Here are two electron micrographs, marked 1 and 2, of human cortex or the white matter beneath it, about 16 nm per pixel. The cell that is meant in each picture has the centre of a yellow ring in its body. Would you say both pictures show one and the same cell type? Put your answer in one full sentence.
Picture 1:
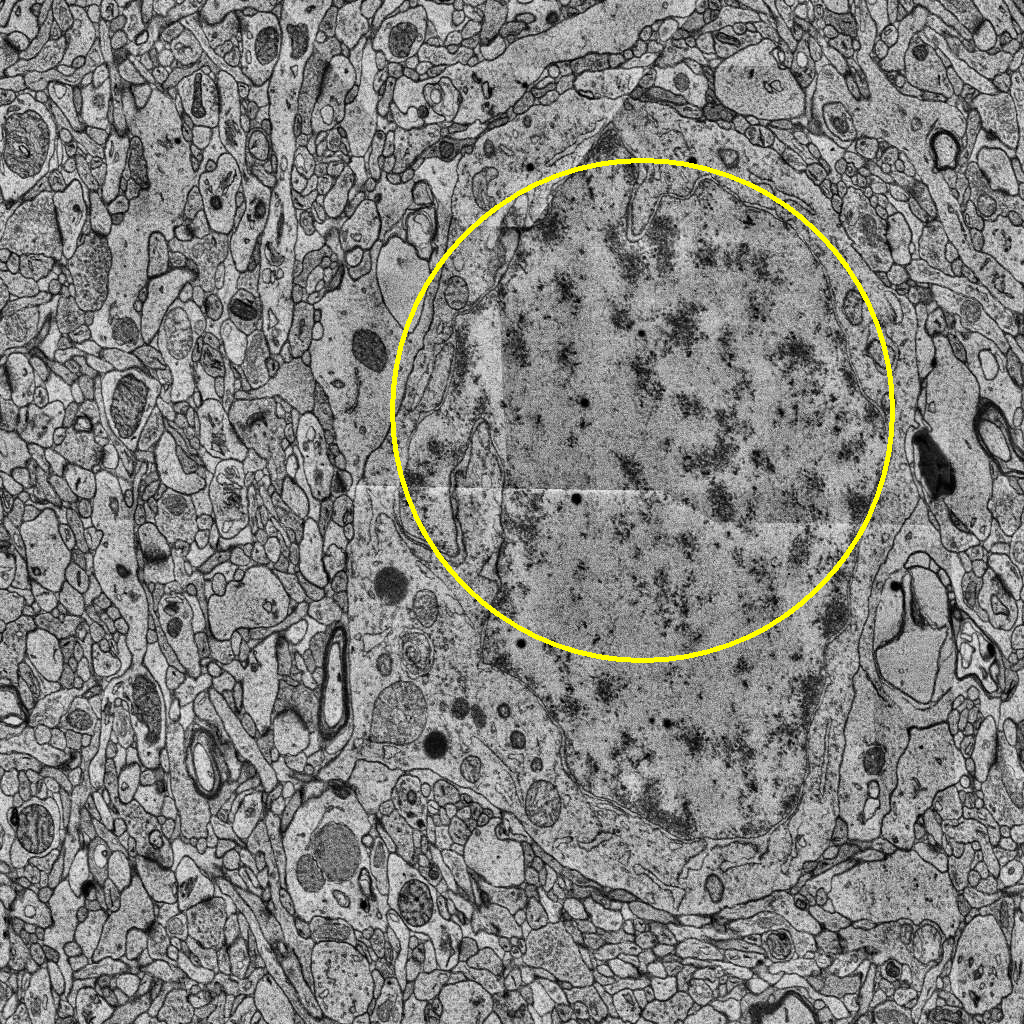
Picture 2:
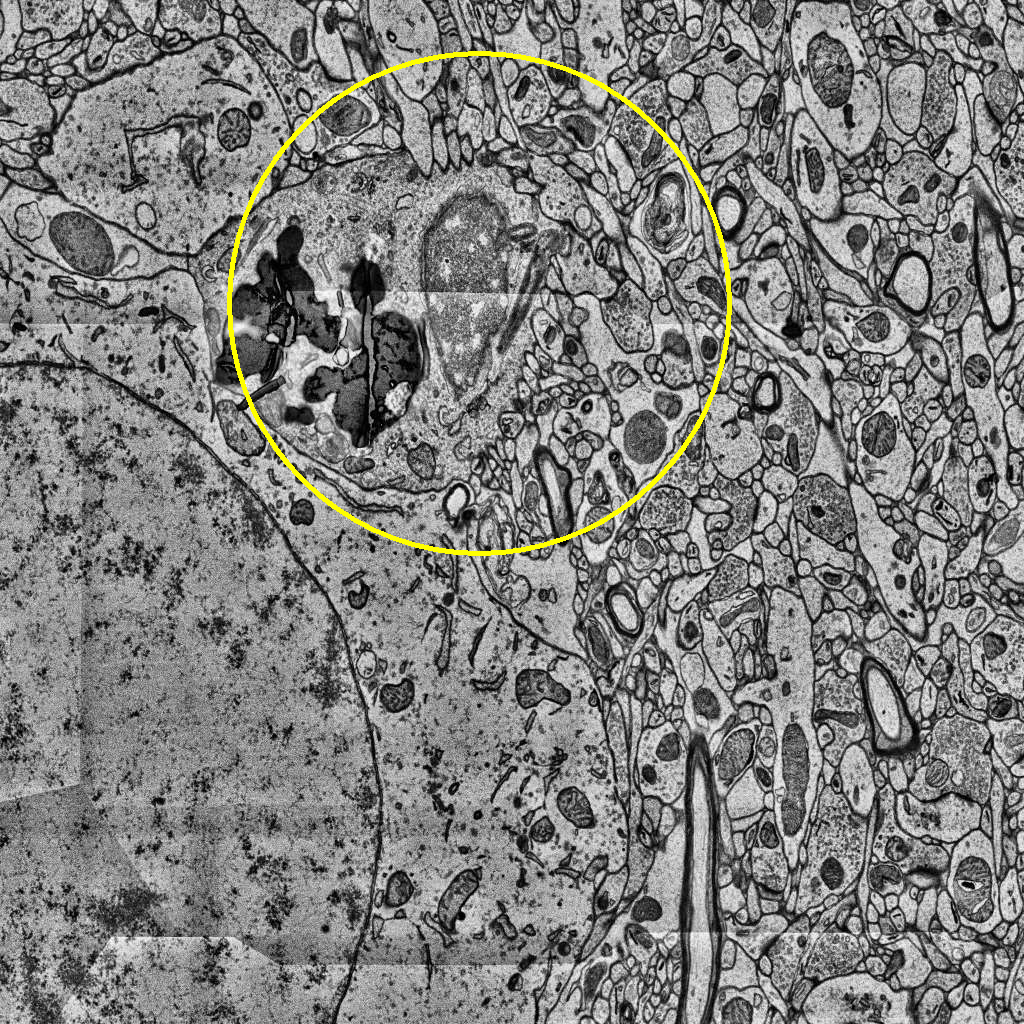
No; the cell in picture 1 is an interneuron, while the one in picture 2 is an oligodendrocyte.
